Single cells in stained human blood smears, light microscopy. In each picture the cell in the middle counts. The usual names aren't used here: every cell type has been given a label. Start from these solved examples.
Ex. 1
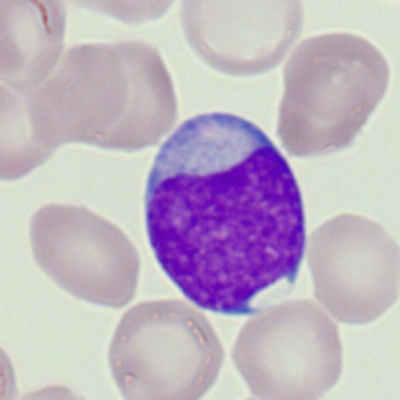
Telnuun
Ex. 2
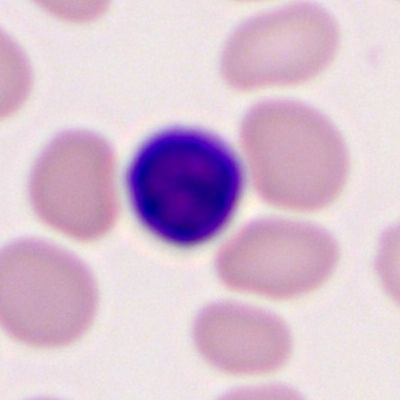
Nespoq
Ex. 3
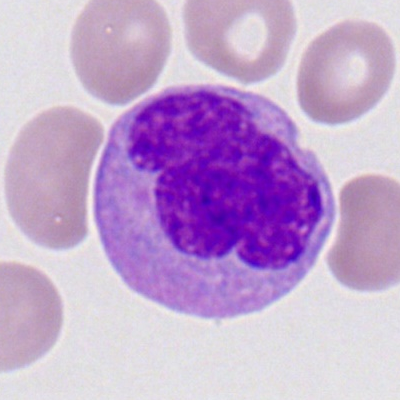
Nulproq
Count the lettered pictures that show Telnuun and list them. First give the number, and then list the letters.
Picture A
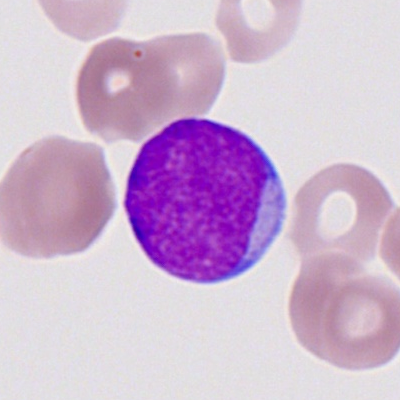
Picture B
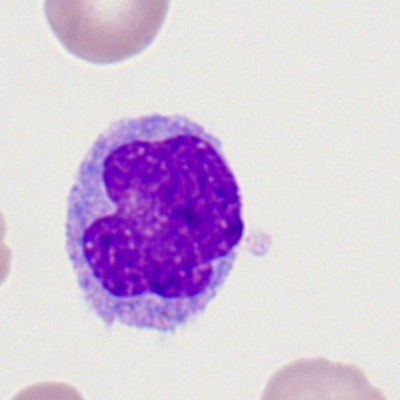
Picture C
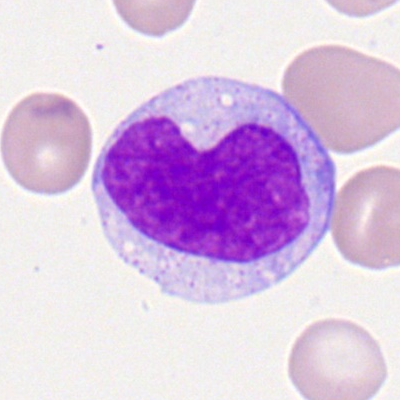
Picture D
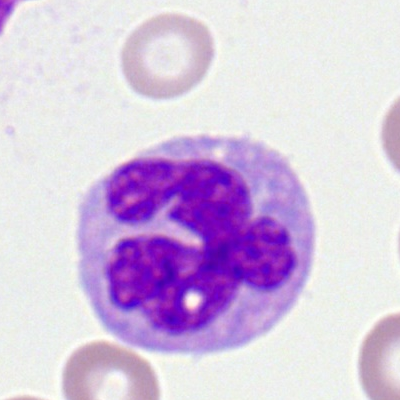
1: A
